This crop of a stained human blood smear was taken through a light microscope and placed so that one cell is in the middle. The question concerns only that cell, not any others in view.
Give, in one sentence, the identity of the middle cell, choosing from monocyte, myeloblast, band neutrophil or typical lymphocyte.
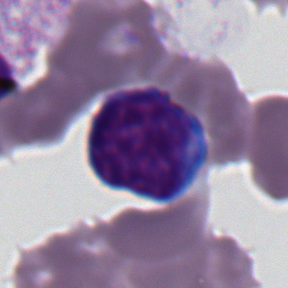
What sits at the centre of this crop is a typical lymphocyte.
